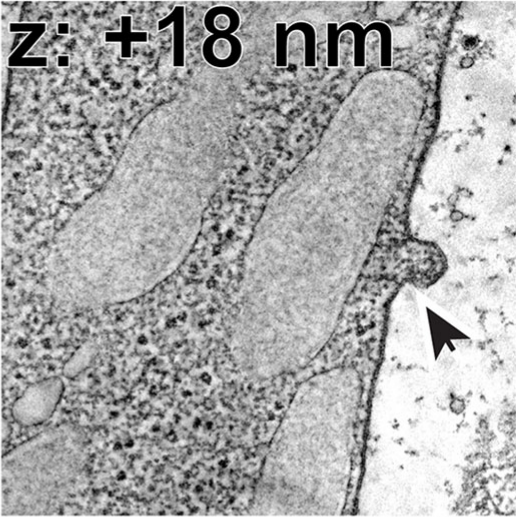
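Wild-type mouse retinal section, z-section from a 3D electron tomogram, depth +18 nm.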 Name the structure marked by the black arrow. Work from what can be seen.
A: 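Microvesicle. A small rounded membrane-bound body bulges outward from the cell's plasma membrane at the arrow tip. The bulge is continuous with the cell's cytoplasm and projects into the pale extracellular space.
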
